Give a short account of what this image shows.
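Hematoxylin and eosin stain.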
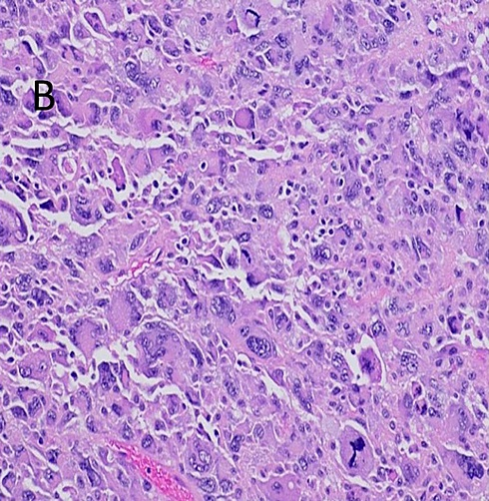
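Densely cellular tumor tissue in which markedly pleomorphic cells lie in solid sheets, with little stroma between them. The cells are mostly plump and polygonal, with abundant pink to violet cytoplasm. Their nuclei vary greatly in size and shape, and many are large, with vesicular chromatin and prominent nucleoli. Scattered giant cells are present, which are very large cells with one huge nucleus or several nuclei. There are narrow clefts between groups of cells. A few small blood vessels containing red cells are visible.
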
